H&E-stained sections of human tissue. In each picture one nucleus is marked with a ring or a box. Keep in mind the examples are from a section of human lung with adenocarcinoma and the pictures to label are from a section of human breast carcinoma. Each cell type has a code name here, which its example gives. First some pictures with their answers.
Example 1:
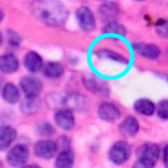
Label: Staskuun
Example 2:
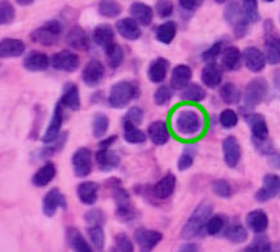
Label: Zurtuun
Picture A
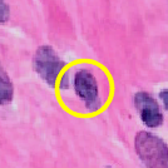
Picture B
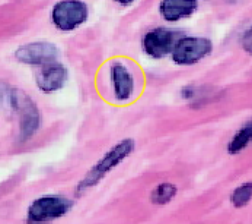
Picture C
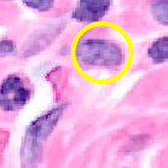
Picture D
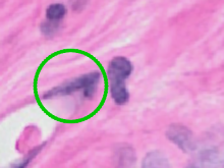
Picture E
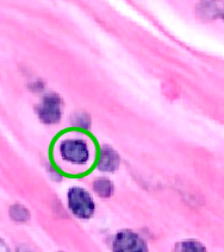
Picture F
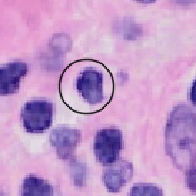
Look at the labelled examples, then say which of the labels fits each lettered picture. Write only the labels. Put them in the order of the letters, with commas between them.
Zurtuun, Zurtuun, Staskuun, Staskuun, Zurtuun, Zurtuun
